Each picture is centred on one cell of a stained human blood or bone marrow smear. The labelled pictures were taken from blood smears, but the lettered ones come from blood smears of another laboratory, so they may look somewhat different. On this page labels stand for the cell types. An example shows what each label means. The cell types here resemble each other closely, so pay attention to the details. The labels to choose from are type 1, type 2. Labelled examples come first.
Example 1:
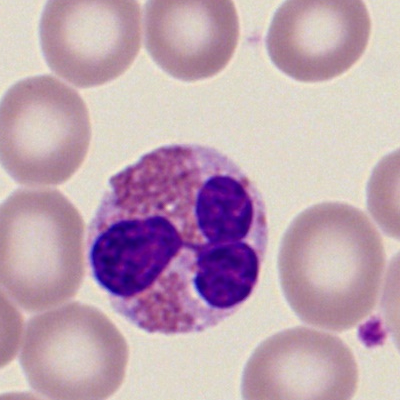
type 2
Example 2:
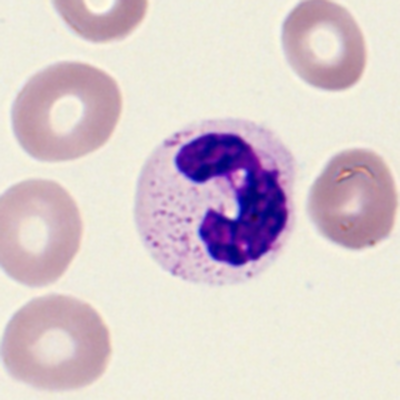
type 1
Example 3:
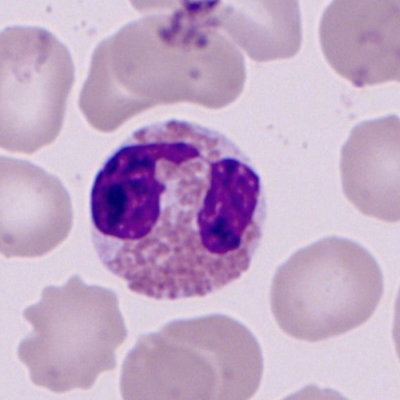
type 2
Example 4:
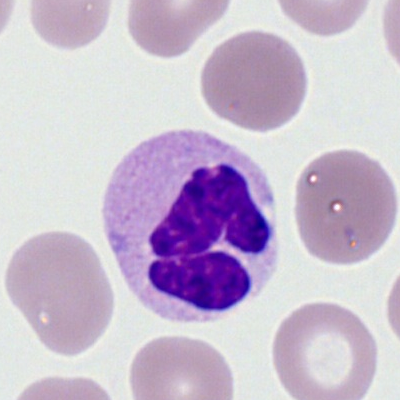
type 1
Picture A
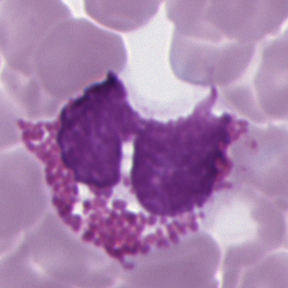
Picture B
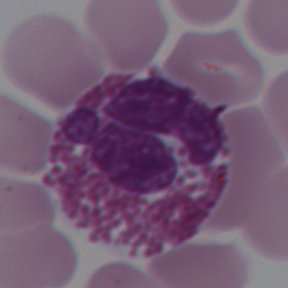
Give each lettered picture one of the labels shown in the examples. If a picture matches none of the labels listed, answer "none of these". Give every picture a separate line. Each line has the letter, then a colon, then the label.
A: type 2
B: type 2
